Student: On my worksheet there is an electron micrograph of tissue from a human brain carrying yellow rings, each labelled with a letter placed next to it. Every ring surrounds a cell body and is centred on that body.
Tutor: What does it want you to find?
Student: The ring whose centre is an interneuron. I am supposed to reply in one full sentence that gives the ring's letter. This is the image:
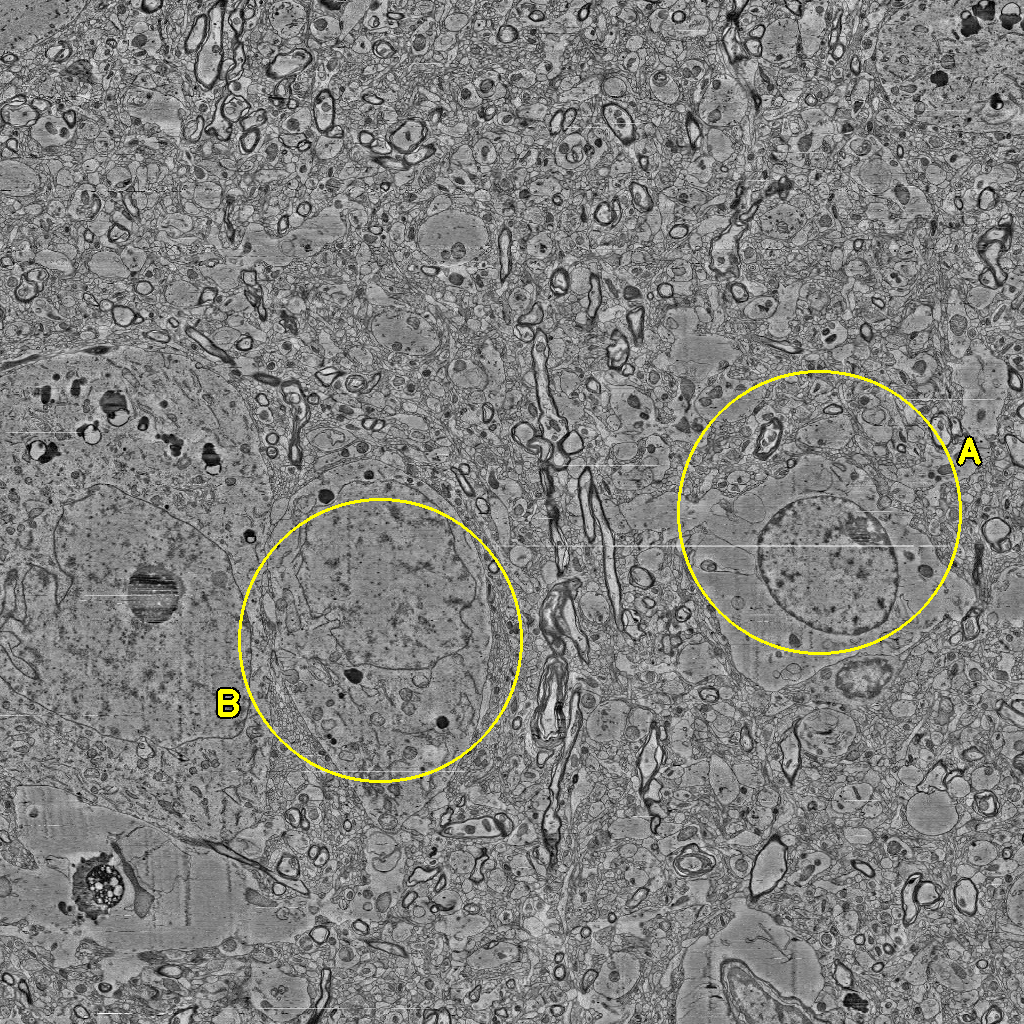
The cell asked for, shown in the picture, lies at the centre of ring B.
